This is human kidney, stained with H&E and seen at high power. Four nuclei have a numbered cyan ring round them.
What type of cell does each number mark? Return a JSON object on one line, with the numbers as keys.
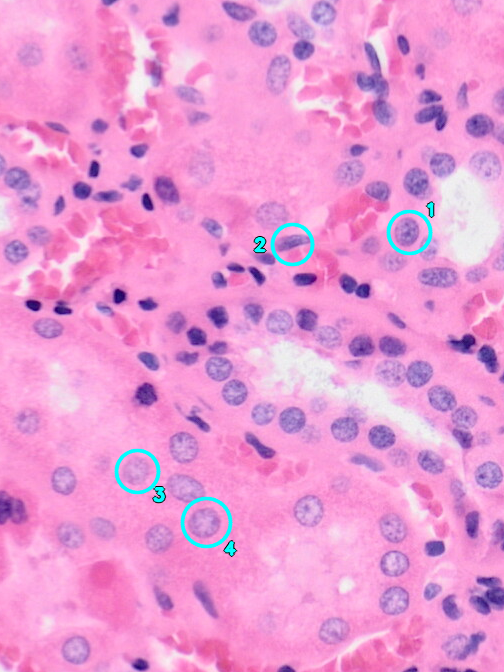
{"1": "loop of Henle or distal tubule cell", "2": "endothelial cell", "3": "proximal tubule cell", "4": "proximal tubule cell"}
